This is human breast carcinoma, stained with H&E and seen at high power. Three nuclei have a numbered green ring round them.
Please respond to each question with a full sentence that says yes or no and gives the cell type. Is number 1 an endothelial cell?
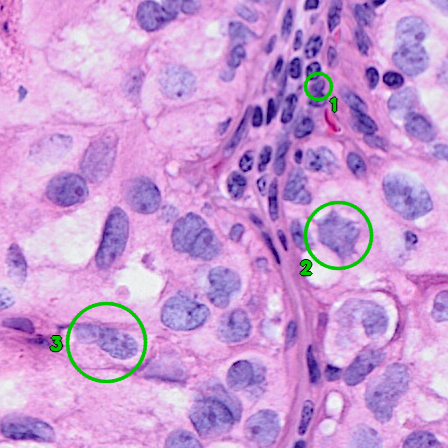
Yes, the cell marked with number 1 is an endothelial cell.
